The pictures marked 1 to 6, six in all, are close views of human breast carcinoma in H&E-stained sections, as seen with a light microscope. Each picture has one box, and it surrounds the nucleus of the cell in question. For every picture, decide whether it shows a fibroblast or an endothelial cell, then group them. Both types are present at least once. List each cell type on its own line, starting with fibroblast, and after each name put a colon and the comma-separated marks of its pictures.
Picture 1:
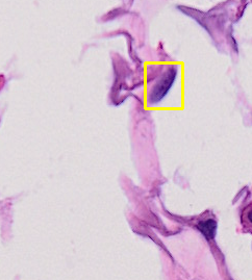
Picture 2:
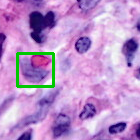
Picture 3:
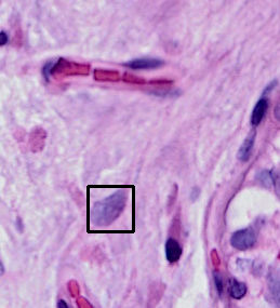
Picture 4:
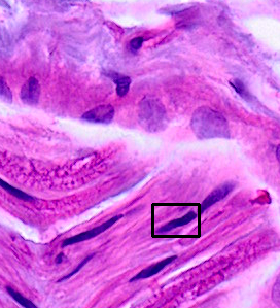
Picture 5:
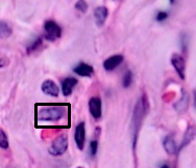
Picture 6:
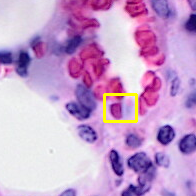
fibroblast: 1, 3, 4
endothelial cell: 2, 5, 6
